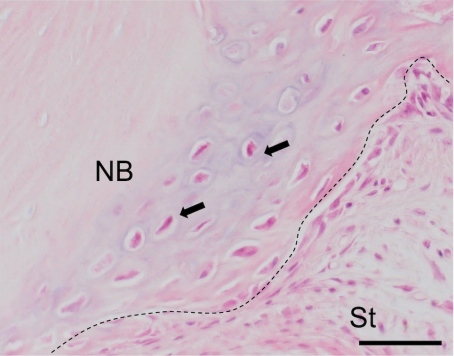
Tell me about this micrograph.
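New bone with chondrocytes lies above and left of a dashed line, with fibrous stroma below and to the right. Within the pale, faintly bluish matrix, the chondrocytes sit singly in lacunae. Toward the edge of the matrix these cells become smaller and more elongated. The stroma holds spindle-shaped cells with elongated nuclei among pink fibres.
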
